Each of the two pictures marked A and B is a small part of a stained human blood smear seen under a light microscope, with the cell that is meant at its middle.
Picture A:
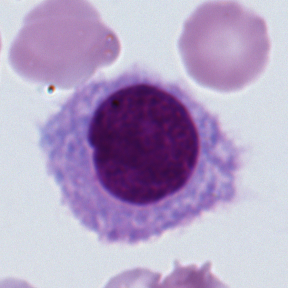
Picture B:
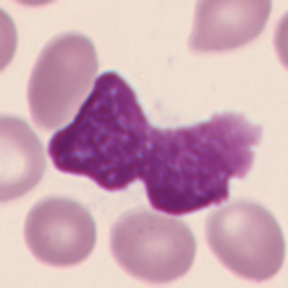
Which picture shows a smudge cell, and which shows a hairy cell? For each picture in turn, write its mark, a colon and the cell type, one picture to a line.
A: hairy cell
B: smudge cell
